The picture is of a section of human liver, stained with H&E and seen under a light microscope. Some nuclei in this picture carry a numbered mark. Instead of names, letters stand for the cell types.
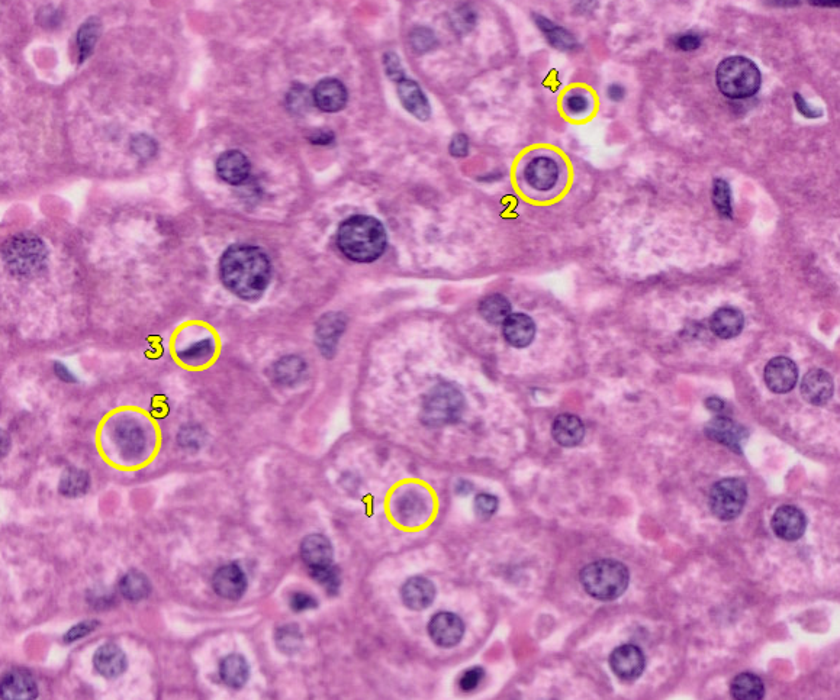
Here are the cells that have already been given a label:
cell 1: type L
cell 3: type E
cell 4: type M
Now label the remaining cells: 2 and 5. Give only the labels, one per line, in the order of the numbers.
type L
type L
